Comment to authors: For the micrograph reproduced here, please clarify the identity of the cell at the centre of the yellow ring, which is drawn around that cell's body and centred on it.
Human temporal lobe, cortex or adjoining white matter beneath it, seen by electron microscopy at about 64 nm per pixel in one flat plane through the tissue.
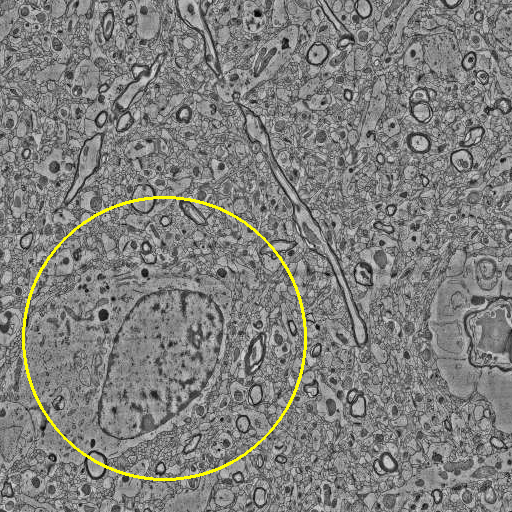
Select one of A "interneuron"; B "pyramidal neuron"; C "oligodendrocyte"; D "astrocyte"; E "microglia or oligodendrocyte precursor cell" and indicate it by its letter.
E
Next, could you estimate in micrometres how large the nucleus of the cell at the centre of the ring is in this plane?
Roughly 11 by 7 micrometers, clearly longer than it is wide in this plane.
